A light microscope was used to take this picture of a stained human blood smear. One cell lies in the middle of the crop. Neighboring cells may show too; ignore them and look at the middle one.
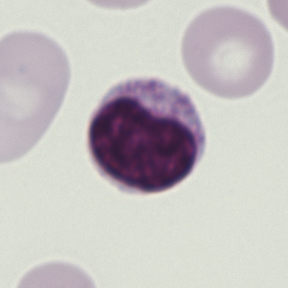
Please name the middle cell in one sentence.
The central cell shown in this smear crop is a large granular lymphocyte.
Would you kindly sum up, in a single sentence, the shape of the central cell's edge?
Thanks for asking; the cell edge is smooth and has no projections.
